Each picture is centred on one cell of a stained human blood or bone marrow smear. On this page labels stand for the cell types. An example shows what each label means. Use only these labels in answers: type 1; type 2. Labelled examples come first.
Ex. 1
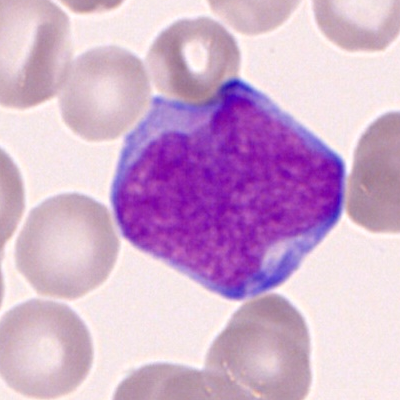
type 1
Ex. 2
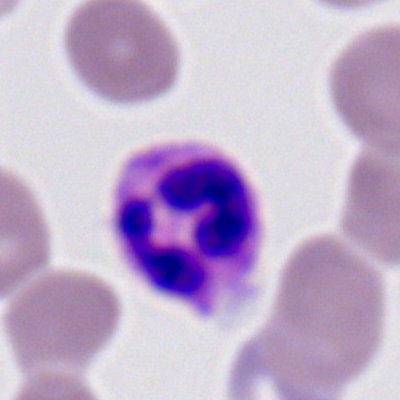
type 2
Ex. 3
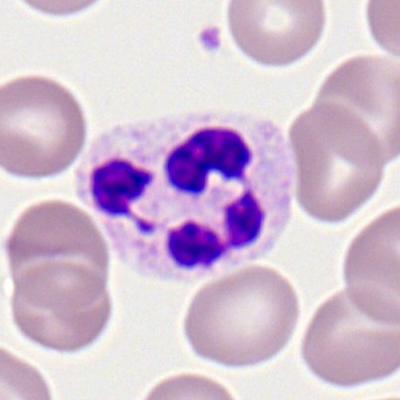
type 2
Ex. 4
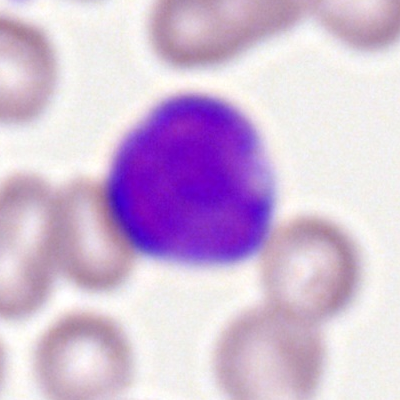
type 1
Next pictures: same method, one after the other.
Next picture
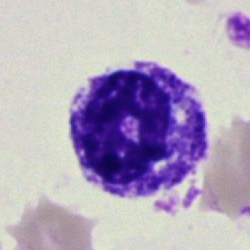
type 2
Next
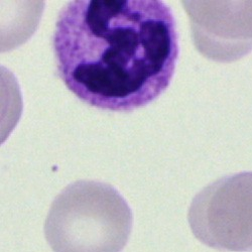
type 2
